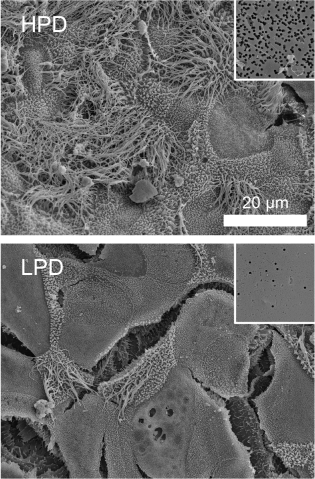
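In the upper image many cells carry dense tufts of long, hair-like cilia that sweep across the surface and cover much of the field. Between them lie polygonal cells whose surfaces bear only short, stubby projections. In the lower image the surface is dominated by broad, flattened polygonal cells with short surface projections, and only small groups of cilia are seen, with gaps and cracks visible between some cells. Small insets in the corners show the culture membrane as a grey surface perforated by dark round pores, many in the upper inset and few in the lower.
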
